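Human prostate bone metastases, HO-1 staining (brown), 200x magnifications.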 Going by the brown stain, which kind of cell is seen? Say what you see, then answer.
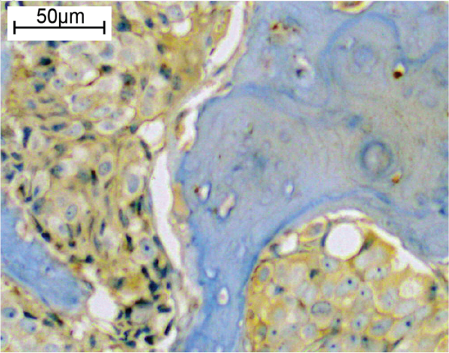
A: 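Nests of large polygonal cells with round nuclei have brown-stained cytoplasm. The stained cell nests lie between blue-stained trabeculae of bone. On this evidence: tumor epithelial cells.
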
